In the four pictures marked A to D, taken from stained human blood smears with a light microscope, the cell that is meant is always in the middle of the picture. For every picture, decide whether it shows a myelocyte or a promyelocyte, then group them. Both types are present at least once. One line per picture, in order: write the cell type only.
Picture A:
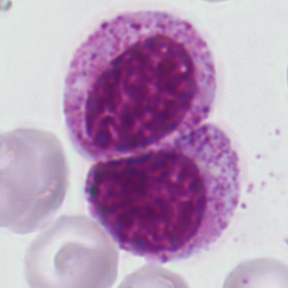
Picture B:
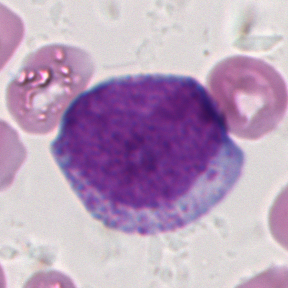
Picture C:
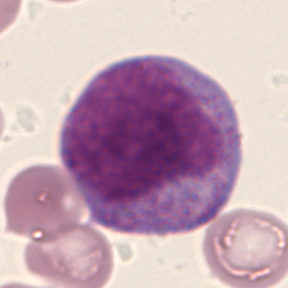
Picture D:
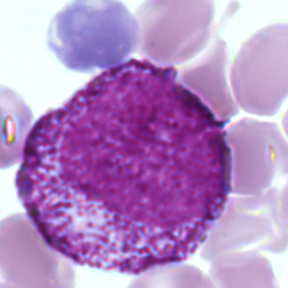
myelocyte
promyelocyte
promyelocyte
myelocyte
